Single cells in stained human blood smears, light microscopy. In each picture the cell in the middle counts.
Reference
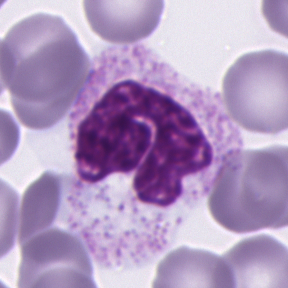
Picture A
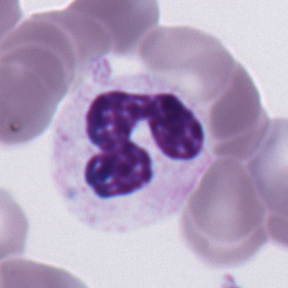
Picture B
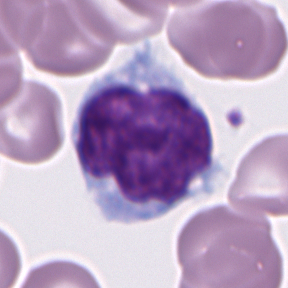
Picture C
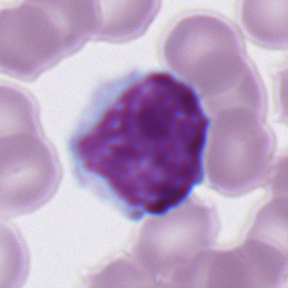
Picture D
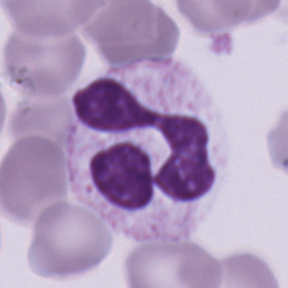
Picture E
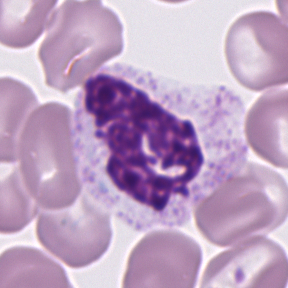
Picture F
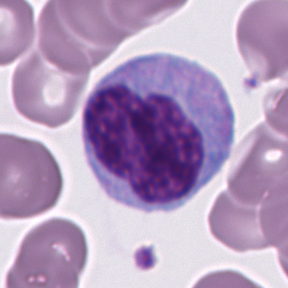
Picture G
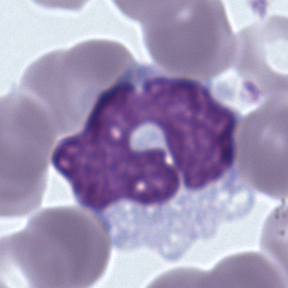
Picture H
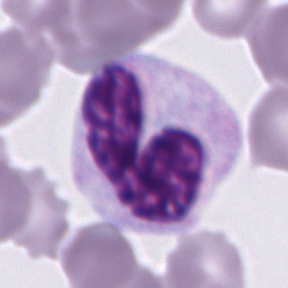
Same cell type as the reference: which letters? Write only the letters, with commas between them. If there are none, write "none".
A, D, E, H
